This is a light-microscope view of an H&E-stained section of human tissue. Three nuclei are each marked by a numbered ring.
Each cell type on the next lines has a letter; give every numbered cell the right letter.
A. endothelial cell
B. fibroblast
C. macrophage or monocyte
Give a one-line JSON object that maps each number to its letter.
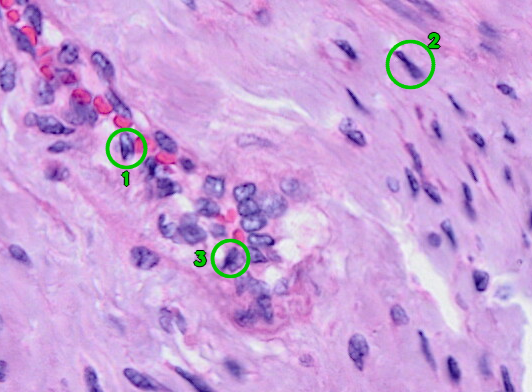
{"1": "A", "2": "B", "3": "A"}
